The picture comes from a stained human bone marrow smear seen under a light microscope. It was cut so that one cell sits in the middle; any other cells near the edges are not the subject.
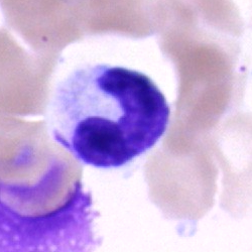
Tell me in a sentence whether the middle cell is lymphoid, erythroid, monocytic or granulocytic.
For the cell at the center, the lineage is granulocytic.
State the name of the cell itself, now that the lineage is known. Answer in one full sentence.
In the middle of this smear crop is a band neutrophil.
